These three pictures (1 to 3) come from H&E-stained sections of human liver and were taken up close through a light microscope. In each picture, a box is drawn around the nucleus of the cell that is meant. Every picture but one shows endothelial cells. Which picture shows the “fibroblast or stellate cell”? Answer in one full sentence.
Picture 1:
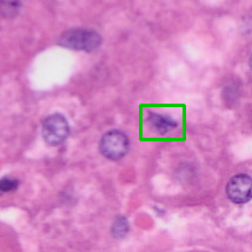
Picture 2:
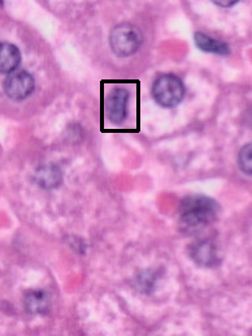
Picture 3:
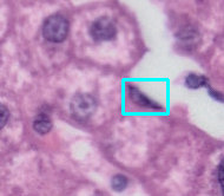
The “fibroblast or stellate cell” is the one in picture 2.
